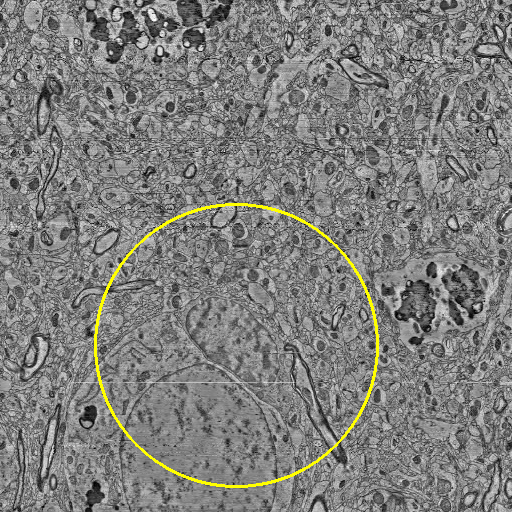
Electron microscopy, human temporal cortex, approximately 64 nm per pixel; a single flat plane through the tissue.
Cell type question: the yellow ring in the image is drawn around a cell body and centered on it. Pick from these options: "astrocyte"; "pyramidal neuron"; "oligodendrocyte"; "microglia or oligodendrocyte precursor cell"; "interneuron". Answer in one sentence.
The ringed cell at the center is an oligodendrocyte.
